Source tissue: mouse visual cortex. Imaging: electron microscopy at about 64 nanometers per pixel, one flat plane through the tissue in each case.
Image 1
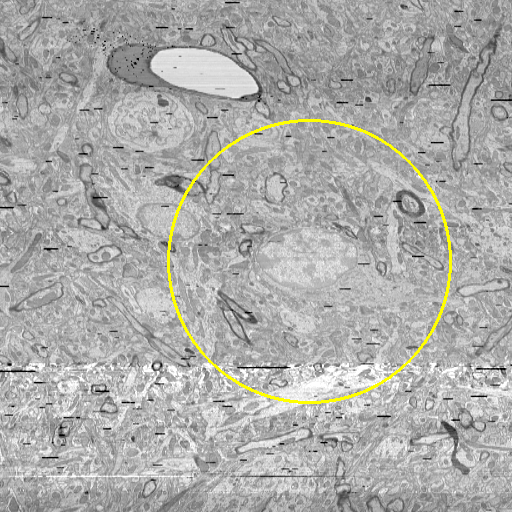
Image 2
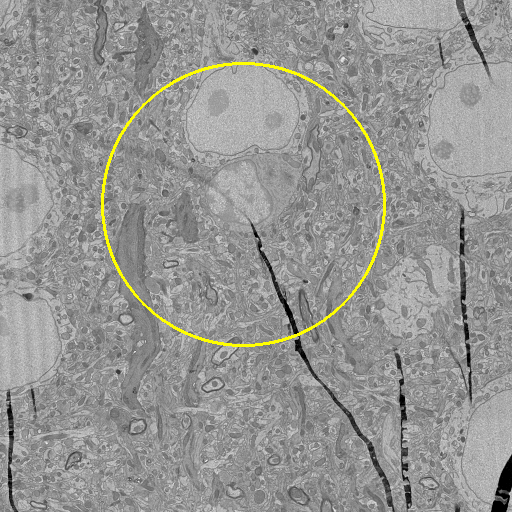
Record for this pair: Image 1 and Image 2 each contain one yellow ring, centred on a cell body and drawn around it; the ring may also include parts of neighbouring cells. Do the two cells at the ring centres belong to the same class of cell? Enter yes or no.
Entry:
yes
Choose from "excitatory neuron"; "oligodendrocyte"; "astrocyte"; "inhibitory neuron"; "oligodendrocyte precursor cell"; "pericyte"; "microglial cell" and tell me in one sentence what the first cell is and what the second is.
Each of the two pictures has an oligodendrocyte at the ring centre.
